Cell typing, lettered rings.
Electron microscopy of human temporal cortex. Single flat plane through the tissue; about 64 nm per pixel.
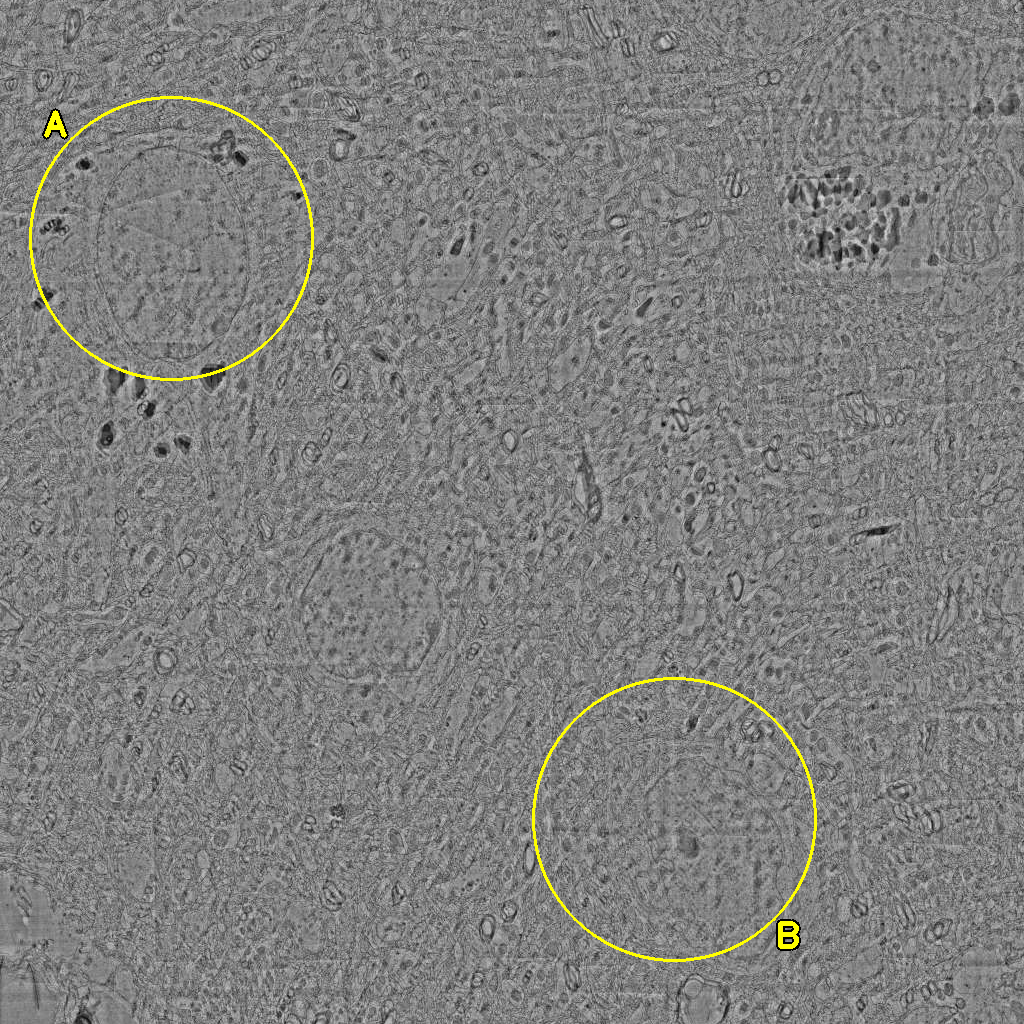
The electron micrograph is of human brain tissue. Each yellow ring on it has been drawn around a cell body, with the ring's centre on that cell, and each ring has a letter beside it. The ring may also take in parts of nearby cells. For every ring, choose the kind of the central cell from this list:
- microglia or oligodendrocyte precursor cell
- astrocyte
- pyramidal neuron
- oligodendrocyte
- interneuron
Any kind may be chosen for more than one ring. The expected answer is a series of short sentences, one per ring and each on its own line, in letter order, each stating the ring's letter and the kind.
For ring A, the centred cell is a pyramidal neuron.
For ring B, the centred cell is an interneuron.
